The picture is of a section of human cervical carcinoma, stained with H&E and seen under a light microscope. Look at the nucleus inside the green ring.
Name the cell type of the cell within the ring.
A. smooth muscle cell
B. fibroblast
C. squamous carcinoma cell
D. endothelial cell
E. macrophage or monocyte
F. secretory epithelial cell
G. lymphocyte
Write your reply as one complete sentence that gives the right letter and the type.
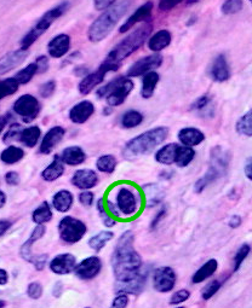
Option G is the one that fits, as the cell within the ring is a lymphocyte.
